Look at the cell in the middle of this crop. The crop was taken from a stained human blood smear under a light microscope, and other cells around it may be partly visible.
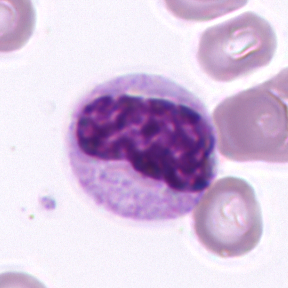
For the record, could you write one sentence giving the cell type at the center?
Regarding the central cell, it is a metamyelocyte.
